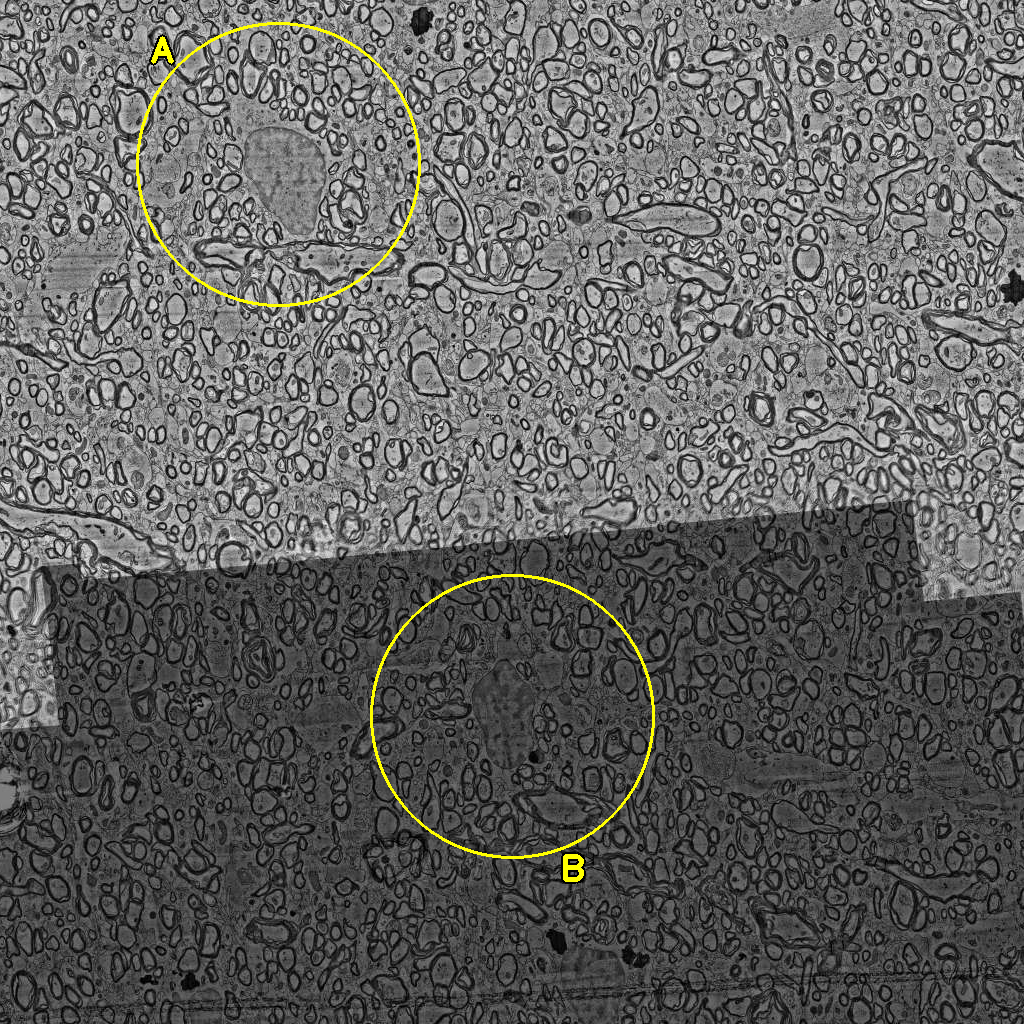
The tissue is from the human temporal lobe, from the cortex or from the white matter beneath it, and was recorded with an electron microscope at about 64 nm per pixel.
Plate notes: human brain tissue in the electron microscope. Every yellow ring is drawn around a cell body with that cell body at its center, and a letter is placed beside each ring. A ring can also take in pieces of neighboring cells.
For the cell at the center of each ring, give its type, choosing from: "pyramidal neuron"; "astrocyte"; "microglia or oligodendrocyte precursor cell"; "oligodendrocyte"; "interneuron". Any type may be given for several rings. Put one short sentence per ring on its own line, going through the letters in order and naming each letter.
Ring A shows an oligodendrocyte at the center.
Ring B shows a microglial cell or oligodendrocyte precursor cell at the center.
